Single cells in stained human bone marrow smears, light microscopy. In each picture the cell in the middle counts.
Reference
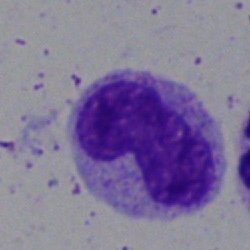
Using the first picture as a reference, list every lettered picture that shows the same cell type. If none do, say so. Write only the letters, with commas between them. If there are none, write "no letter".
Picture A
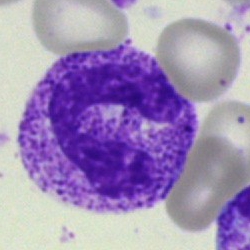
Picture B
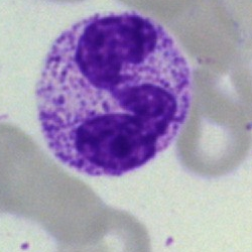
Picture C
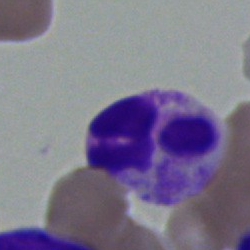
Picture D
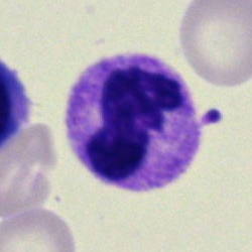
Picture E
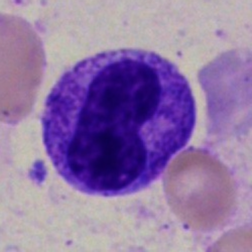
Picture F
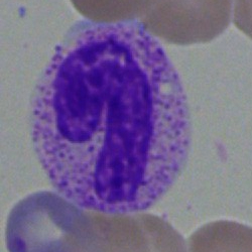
A, E, F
